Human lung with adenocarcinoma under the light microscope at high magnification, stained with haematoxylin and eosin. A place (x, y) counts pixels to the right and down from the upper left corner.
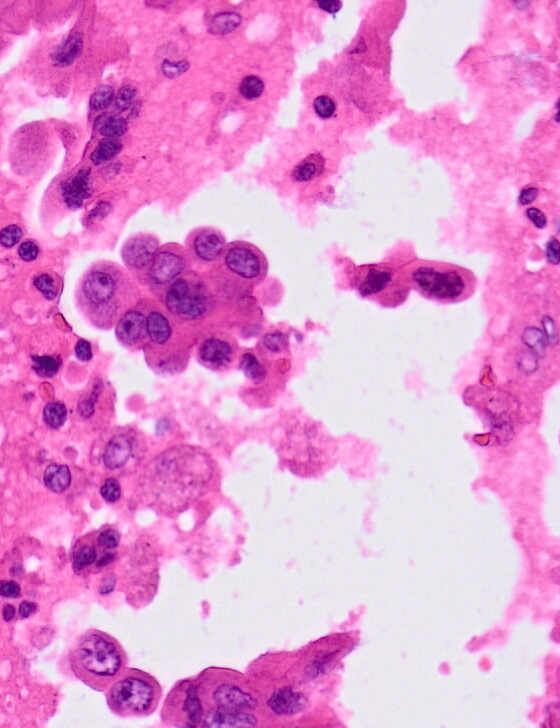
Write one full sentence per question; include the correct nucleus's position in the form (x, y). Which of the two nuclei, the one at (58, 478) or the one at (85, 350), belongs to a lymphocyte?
Housed in a lymphocyte is the nucleus at (85, 350), not the other one.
